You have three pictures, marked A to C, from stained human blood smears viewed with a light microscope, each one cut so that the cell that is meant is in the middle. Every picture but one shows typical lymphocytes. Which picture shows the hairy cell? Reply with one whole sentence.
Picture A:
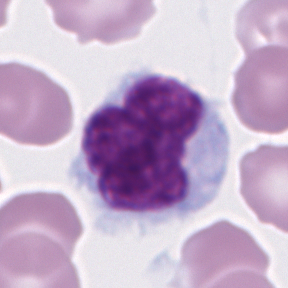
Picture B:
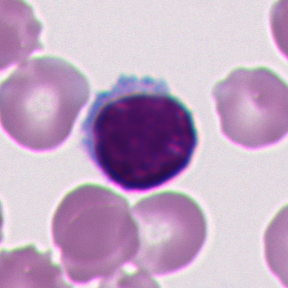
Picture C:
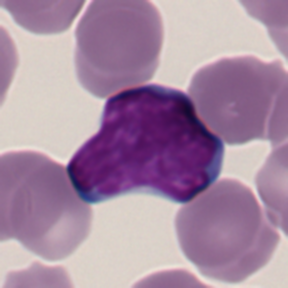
Picture A is the one that shows the hairy cell.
